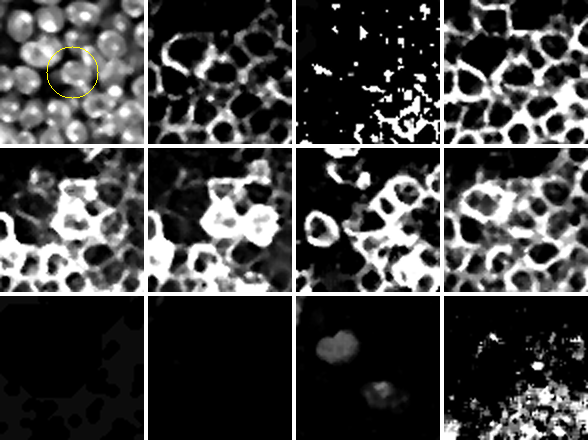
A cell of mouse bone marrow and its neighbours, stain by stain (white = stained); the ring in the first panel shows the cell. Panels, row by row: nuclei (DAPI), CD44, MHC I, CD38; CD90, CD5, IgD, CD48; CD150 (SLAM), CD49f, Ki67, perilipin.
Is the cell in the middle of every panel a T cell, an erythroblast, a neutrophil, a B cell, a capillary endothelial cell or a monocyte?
It is a T cell.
